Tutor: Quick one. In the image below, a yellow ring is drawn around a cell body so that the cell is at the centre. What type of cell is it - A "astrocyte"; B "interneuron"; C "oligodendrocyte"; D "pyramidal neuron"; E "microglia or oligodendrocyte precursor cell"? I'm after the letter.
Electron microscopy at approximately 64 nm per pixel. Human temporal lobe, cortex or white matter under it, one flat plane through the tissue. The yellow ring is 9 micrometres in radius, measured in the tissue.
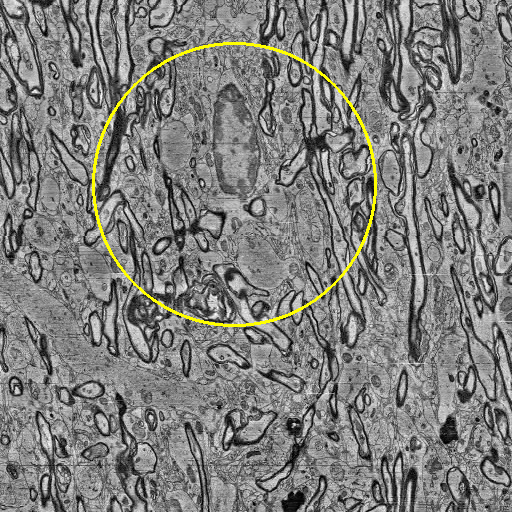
E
